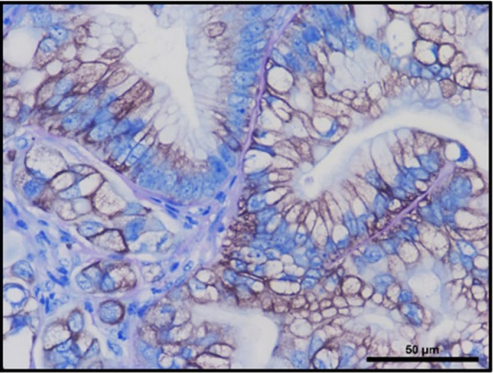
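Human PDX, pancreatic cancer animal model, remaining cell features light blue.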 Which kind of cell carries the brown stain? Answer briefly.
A: Ductal cells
